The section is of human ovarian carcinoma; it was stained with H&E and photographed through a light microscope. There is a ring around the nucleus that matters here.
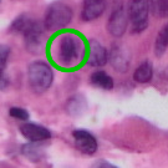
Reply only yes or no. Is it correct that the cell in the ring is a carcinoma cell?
yes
